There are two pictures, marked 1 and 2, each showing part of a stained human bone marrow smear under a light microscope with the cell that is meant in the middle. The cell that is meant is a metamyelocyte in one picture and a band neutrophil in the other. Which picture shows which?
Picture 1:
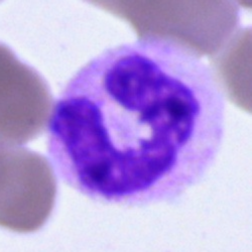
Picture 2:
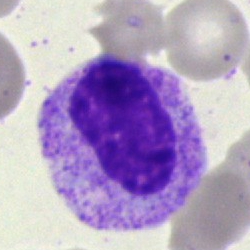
1: band neutrophil
2: metamyelocyte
